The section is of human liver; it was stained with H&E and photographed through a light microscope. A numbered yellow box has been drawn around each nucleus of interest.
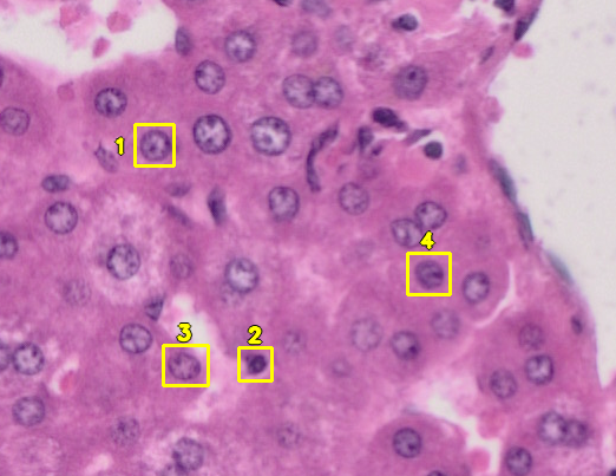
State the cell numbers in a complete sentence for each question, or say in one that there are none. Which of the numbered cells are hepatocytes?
Within the section, cells numbered 1, 3 and 4 are hepatocytes.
